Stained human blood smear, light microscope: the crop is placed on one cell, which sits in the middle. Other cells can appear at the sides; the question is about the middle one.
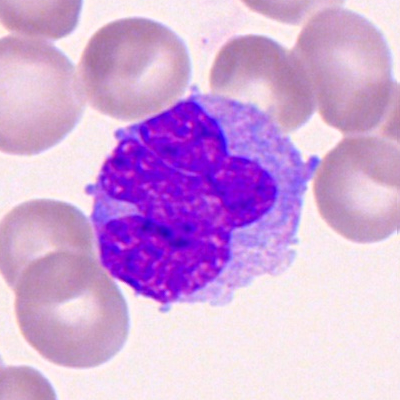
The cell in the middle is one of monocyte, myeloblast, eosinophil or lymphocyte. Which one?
monocyte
